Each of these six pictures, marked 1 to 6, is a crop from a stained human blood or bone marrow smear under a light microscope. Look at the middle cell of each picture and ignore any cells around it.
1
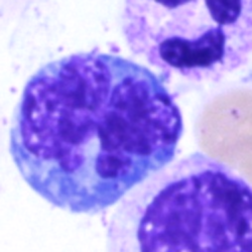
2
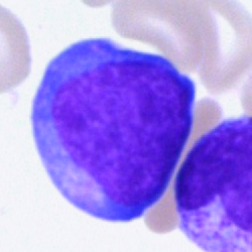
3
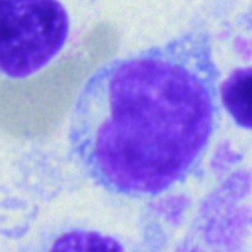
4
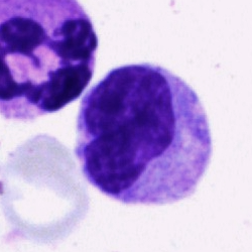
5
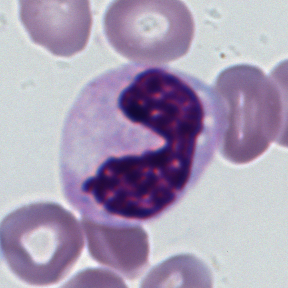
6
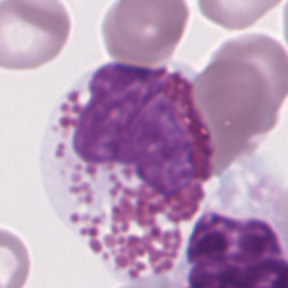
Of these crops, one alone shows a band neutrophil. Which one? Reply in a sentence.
Crop 5 alone, of all the crops, shows a band neutrophil.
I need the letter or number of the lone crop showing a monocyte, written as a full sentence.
The crop in which a monocyte is shown is crop 1.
